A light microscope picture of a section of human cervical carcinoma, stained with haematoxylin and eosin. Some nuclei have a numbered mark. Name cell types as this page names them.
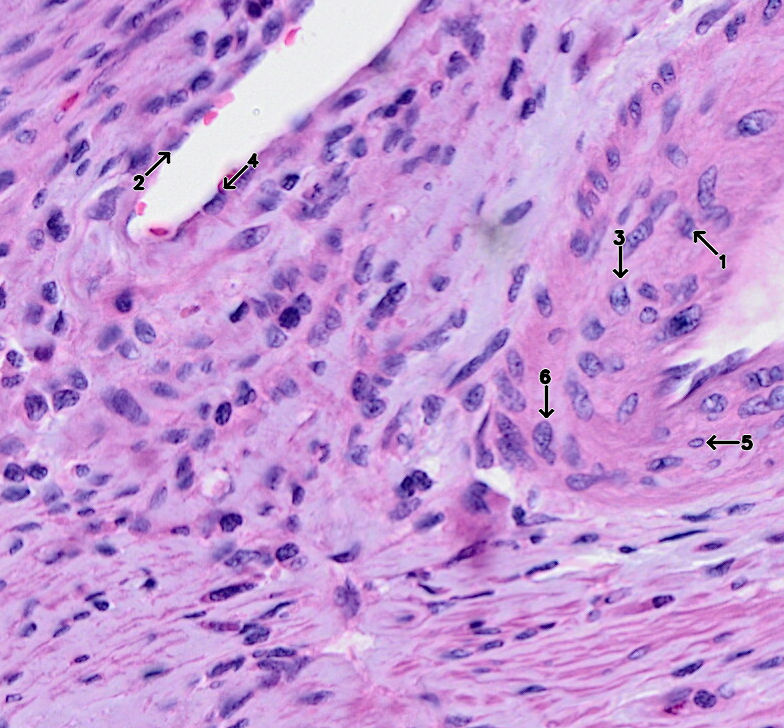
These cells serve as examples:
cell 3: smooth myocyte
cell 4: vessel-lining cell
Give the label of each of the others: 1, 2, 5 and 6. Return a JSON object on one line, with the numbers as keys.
{"1": "smooth myocyte", "2": "vessel-lining cell", "5": "smooth myocyte", "6": "smooth myocyte"}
